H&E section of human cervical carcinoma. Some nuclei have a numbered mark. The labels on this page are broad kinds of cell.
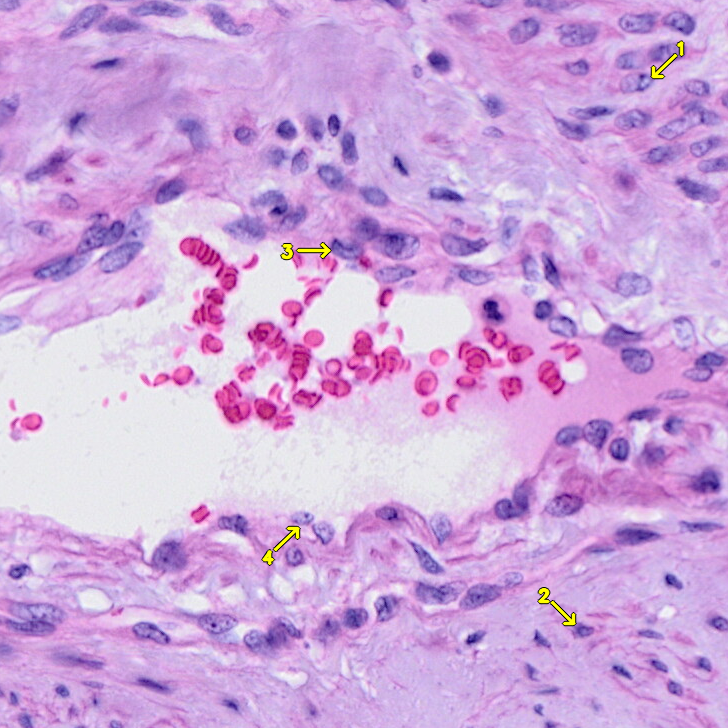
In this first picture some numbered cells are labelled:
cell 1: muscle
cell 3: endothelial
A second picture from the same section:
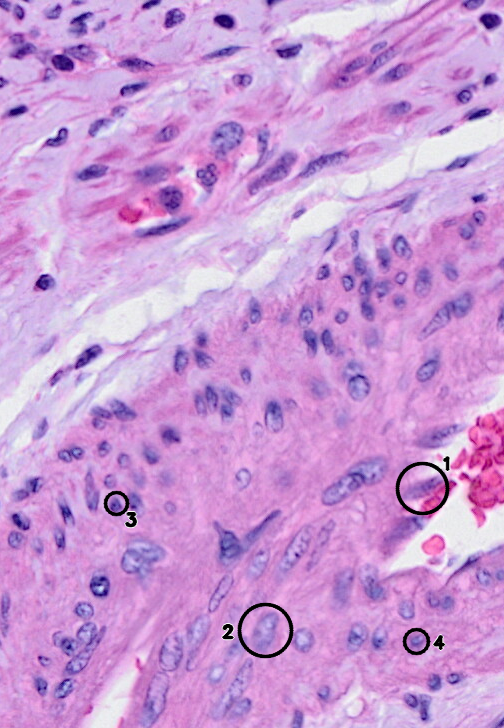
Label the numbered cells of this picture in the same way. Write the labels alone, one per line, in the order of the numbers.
endothelial
muscle
muscle
muscle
